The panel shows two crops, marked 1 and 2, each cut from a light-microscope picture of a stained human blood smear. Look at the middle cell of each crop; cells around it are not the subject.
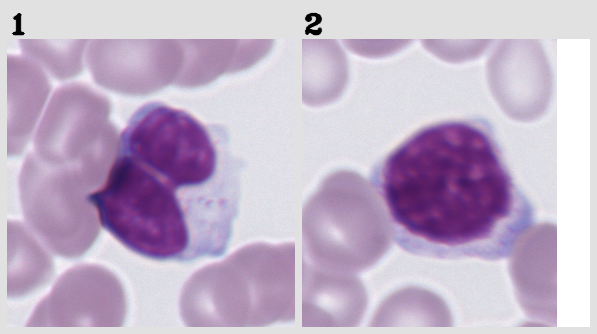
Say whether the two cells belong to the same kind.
yes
